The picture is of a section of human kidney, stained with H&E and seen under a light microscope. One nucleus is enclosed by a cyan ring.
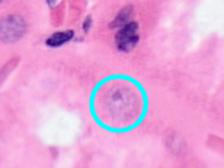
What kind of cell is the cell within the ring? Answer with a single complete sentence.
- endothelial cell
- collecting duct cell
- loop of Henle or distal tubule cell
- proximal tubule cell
This is a proximal tubule cell.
